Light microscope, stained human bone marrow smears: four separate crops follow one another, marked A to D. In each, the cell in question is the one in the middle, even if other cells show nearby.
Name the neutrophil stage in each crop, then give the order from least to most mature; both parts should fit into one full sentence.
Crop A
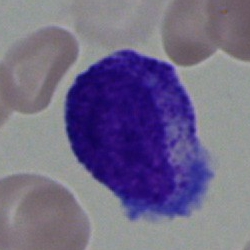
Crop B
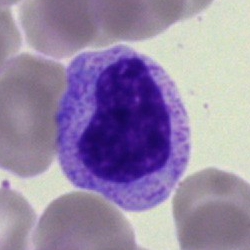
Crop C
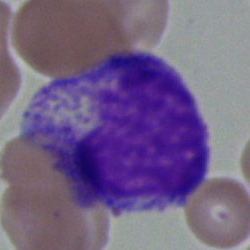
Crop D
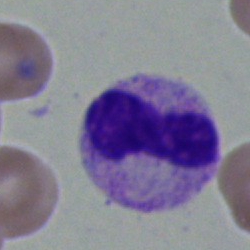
The maturation order of the crops, earliest to latest, is crop A (a promyelocyte), crop C (a myelocyte), crop B (a metamyelocyte) and crop D (a band neutrophil).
